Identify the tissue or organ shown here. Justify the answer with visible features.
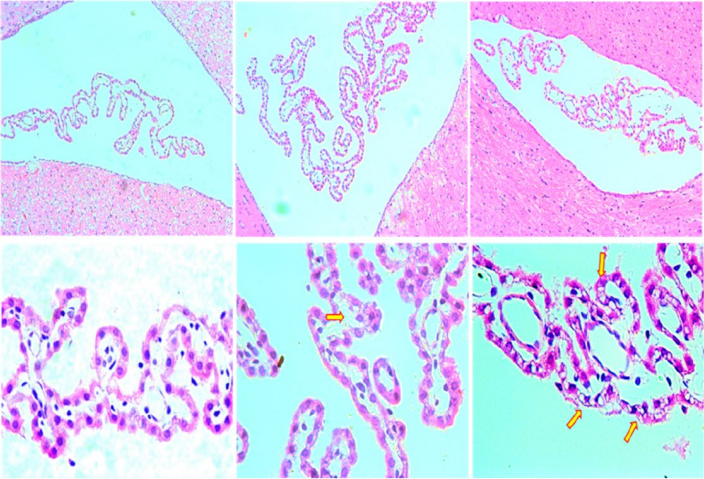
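Choroid plexus. Folded, frond-like tissue floats in an open space bordered by brain tissue. The fronds are lined by a single layer of cuboidal cells with round nuclei around thin cores.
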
